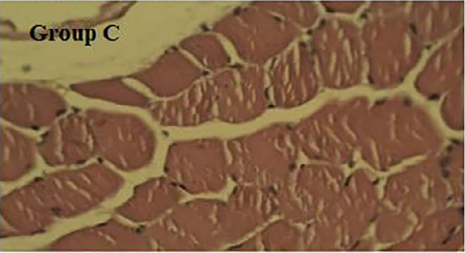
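This is muscle cut across, and the pink polygonal profiles are individual muscle fibers packed closely side by side. They are gathered into bundles, with pale strands of connective tissue running between the bundles. The small dark purple nuclei lie at the edges of the fibers rather than in their centres. Pale streaks and cracks within the fibers are artefacts of sectioning.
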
